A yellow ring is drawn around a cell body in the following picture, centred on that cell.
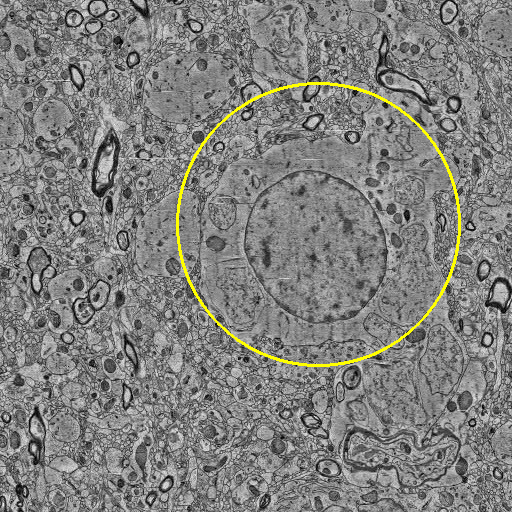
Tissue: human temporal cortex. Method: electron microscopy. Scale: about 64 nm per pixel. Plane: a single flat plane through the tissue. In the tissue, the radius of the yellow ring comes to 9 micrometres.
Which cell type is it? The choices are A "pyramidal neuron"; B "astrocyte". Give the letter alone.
B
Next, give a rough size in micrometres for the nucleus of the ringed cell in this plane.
In this plane the nucleus is about 10 micrometres by 9.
